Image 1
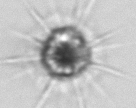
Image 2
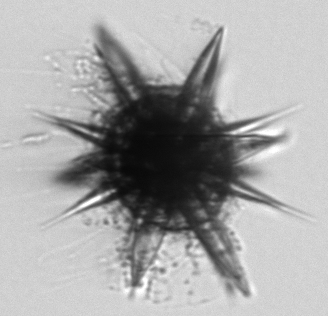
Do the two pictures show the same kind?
Yes, both are radiolarians.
